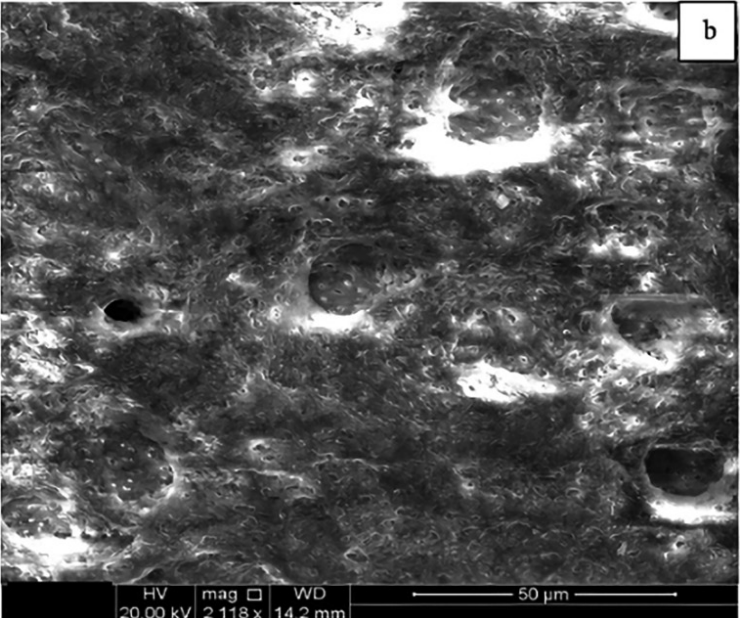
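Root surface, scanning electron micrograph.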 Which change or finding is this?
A: Deep defect cavities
